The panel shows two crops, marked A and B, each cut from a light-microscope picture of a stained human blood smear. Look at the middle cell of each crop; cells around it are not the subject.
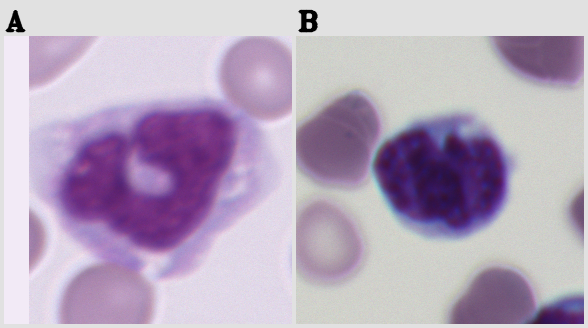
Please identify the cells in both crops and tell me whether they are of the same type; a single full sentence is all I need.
Yes, in the case of both crops, the central cells are monocytes.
